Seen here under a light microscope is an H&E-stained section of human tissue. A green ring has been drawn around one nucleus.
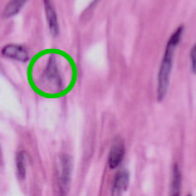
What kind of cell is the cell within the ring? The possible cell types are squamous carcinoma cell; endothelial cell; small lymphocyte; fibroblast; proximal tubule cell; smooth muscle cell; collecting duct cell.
fibroblast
